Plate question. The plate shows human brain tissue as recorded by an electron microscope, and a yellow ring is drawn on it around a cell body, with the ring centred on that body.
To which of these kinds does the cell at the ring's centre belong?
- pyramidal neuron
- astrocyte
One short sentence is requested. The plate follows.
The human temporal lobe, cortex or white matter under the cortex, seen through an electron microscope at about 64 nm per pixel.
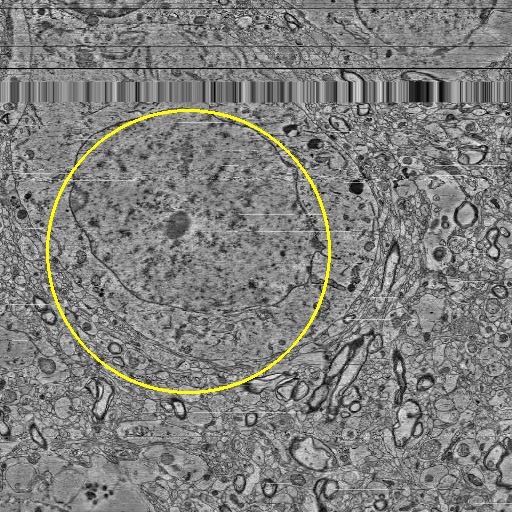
The cell at the ring's centre is a pyramidal neuron.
